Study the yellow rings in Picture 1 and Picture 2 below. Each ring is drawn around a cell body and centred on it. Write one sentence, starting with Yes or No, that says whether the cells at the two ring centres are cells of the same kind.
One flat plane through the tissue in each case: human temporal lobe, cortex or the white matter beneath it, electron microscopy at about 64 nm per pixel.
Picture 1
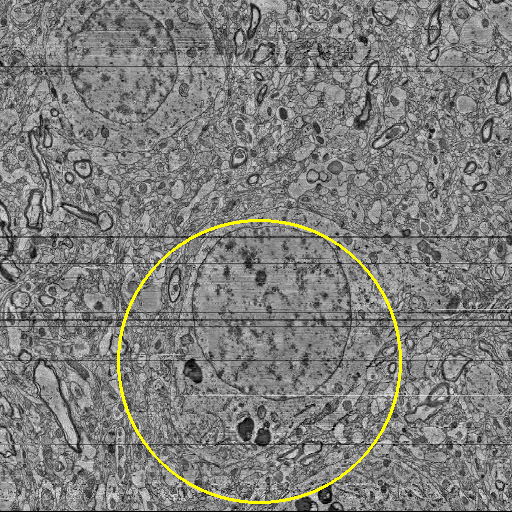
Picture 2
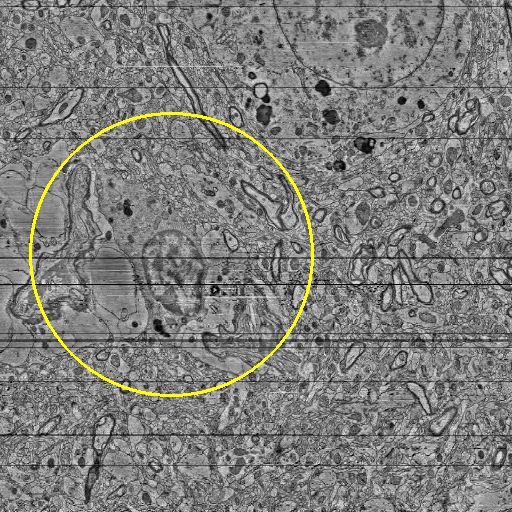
No, the cells at the ring centres are of two kinds.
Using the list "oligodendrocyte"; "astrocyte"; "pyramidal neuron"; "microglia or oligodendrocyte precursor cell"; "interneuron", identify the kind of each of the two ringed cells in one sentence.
The first is a pyramidal neuron and the second is an oligodendrocyte.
